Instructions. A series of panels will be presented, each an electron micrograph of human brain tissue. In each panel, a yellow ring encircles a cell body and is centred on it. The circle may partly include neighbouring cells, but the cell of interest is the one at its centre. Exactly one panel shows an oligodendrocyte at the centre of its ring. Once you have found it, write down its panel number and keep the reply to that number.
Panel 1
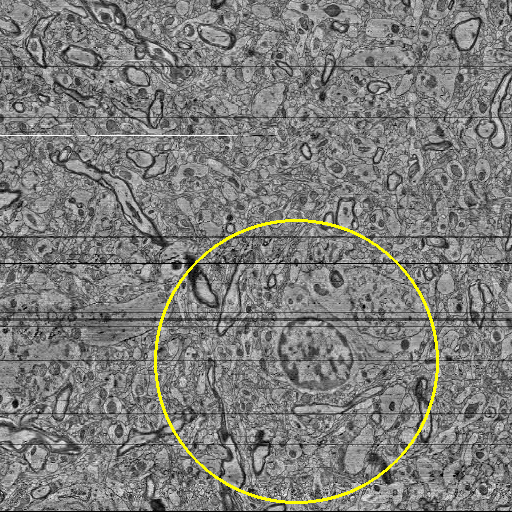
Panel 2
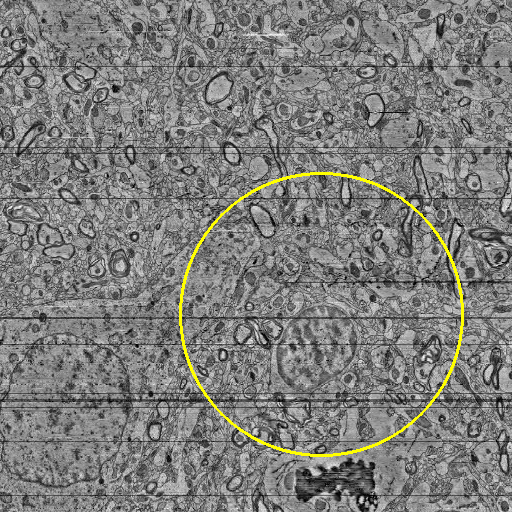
2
